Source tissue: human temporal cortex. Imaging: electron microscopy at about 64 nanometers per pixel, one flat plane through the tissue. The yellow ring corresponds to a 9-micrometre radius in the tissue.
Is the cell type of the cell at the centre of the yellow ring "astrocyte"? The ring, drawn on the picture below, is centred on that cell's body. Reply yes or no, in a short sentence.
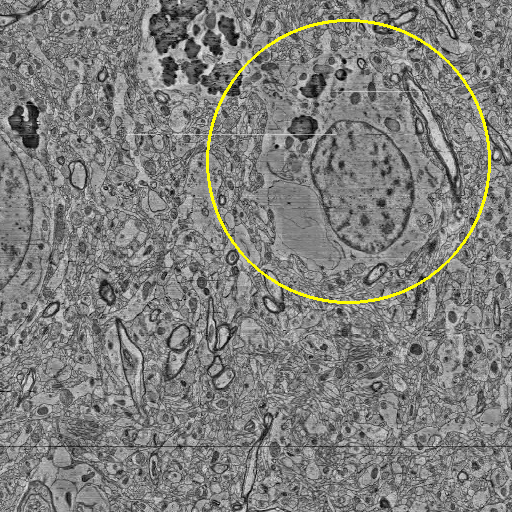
Yes, that is its cell type.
